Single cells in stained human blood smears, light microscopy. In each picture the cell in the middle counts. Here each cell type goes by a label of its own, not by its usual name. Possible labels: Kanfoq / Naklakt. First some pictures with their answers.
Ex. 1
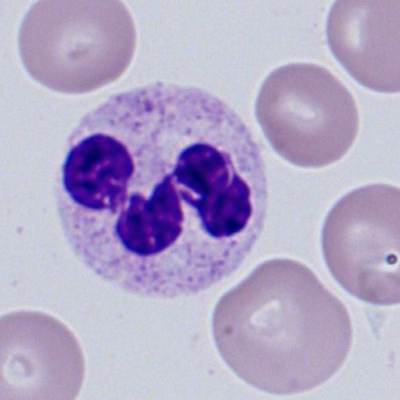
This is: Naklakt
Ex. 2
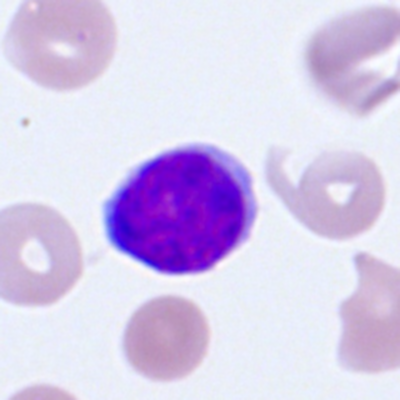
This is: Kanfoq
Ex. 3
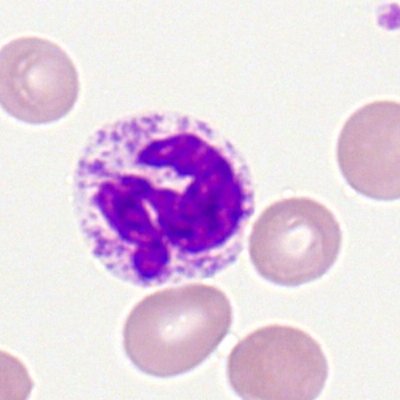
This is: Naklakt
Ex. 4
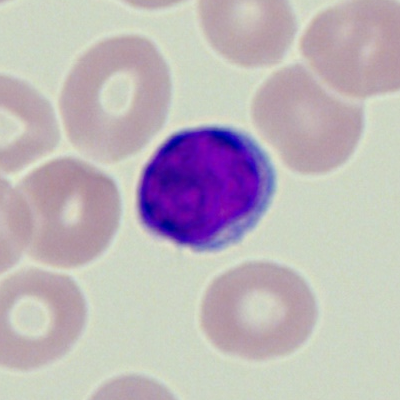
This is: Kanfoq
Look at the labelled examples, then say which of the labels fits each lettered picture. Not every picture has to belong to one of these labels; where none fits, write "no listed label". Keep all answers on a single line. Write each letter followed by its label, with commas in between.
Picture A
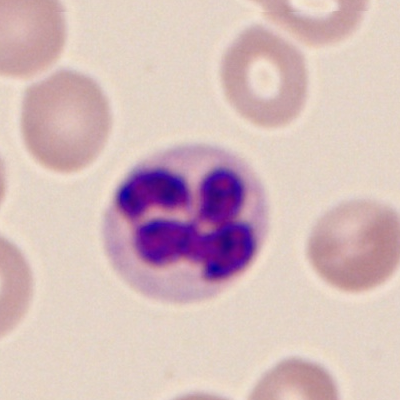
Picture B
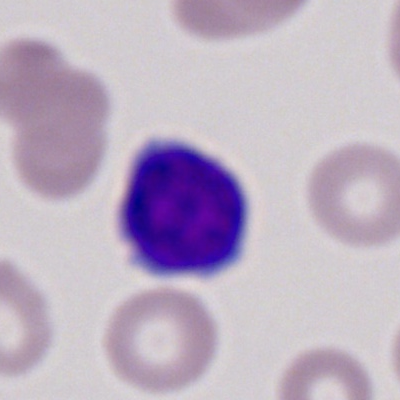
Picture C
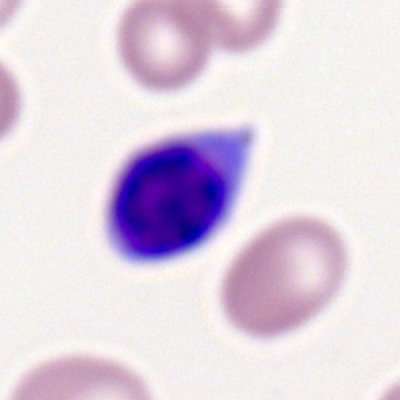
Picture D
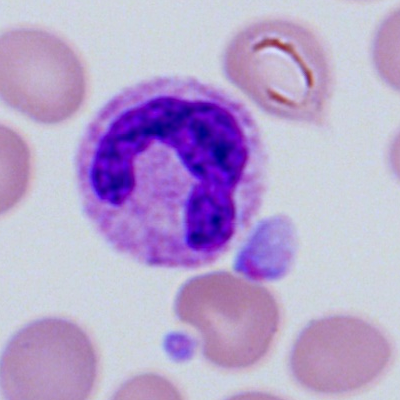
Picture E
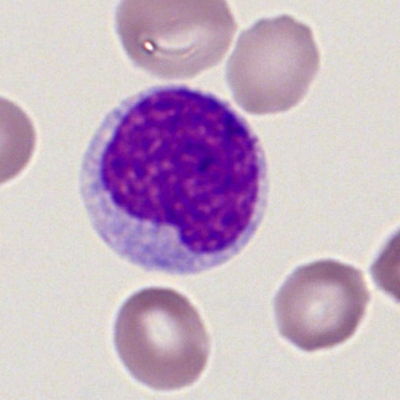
A Naklakt, B Kanfoq, C Kanfoq, D Naklakt, E Kanfoq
